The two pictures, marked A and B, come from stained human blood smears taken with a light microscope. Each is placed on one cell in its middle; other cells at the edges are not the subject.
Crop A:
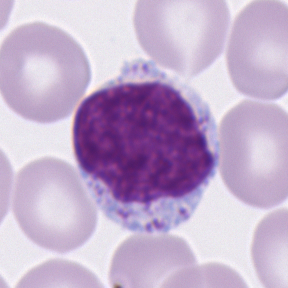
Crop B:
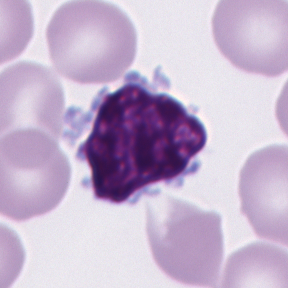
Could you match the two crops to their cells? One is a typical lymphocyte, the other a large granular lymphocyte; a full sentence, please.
The one in crop A is a large granular lymphocyte, and the one in crop B is a typical lymphocyte.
